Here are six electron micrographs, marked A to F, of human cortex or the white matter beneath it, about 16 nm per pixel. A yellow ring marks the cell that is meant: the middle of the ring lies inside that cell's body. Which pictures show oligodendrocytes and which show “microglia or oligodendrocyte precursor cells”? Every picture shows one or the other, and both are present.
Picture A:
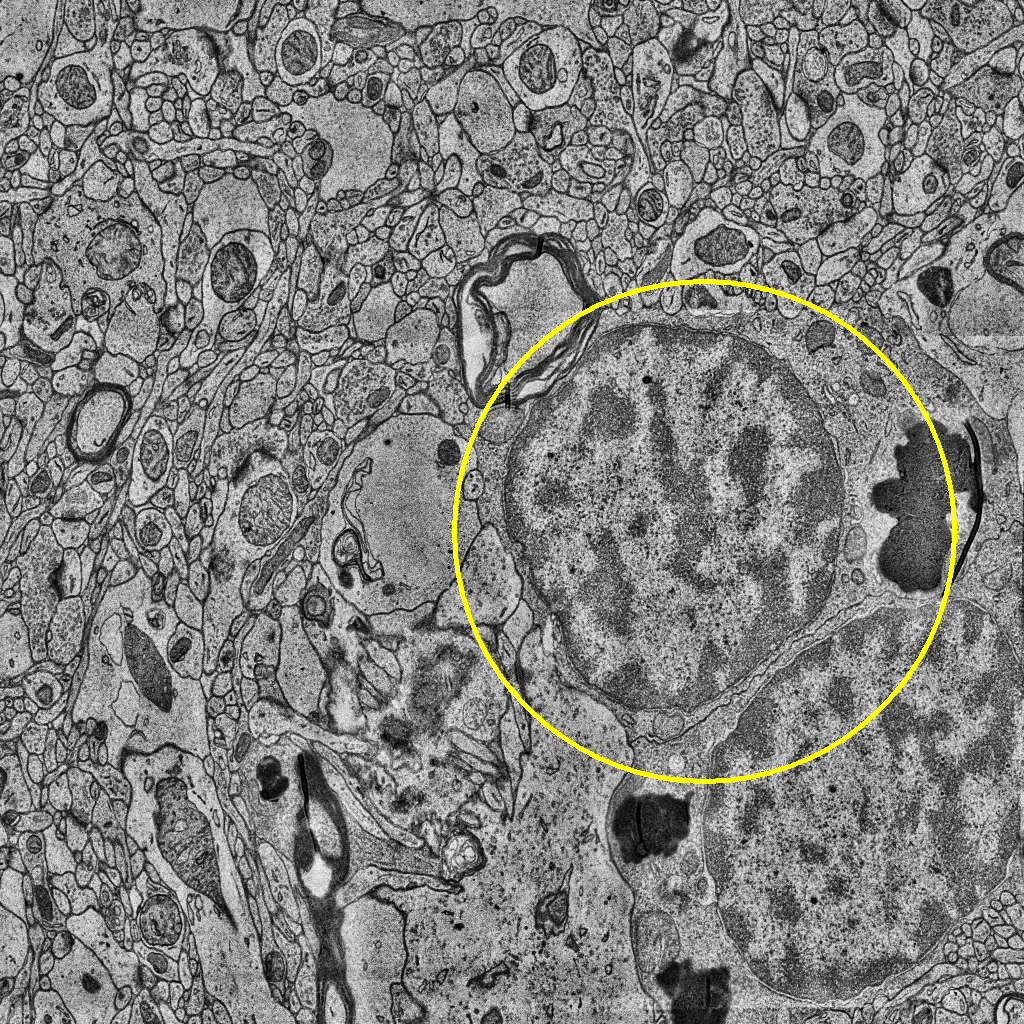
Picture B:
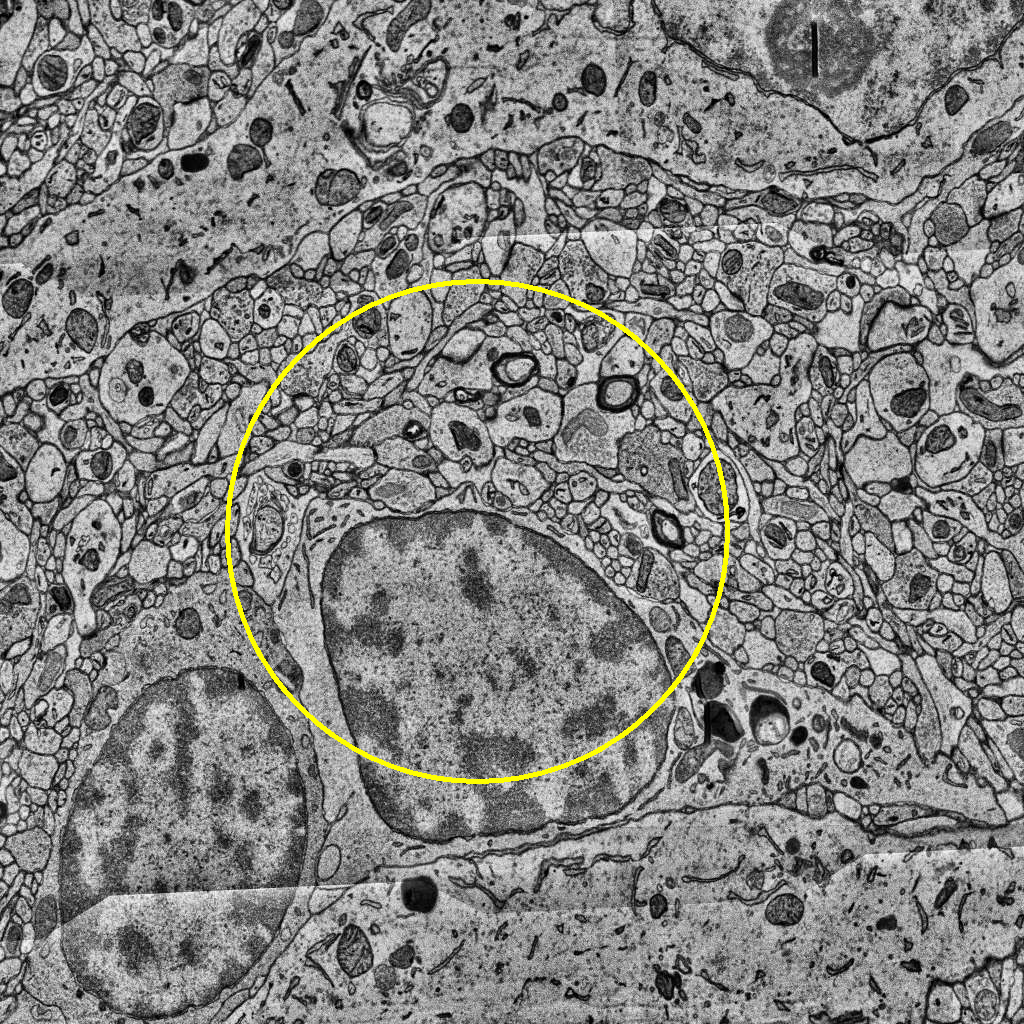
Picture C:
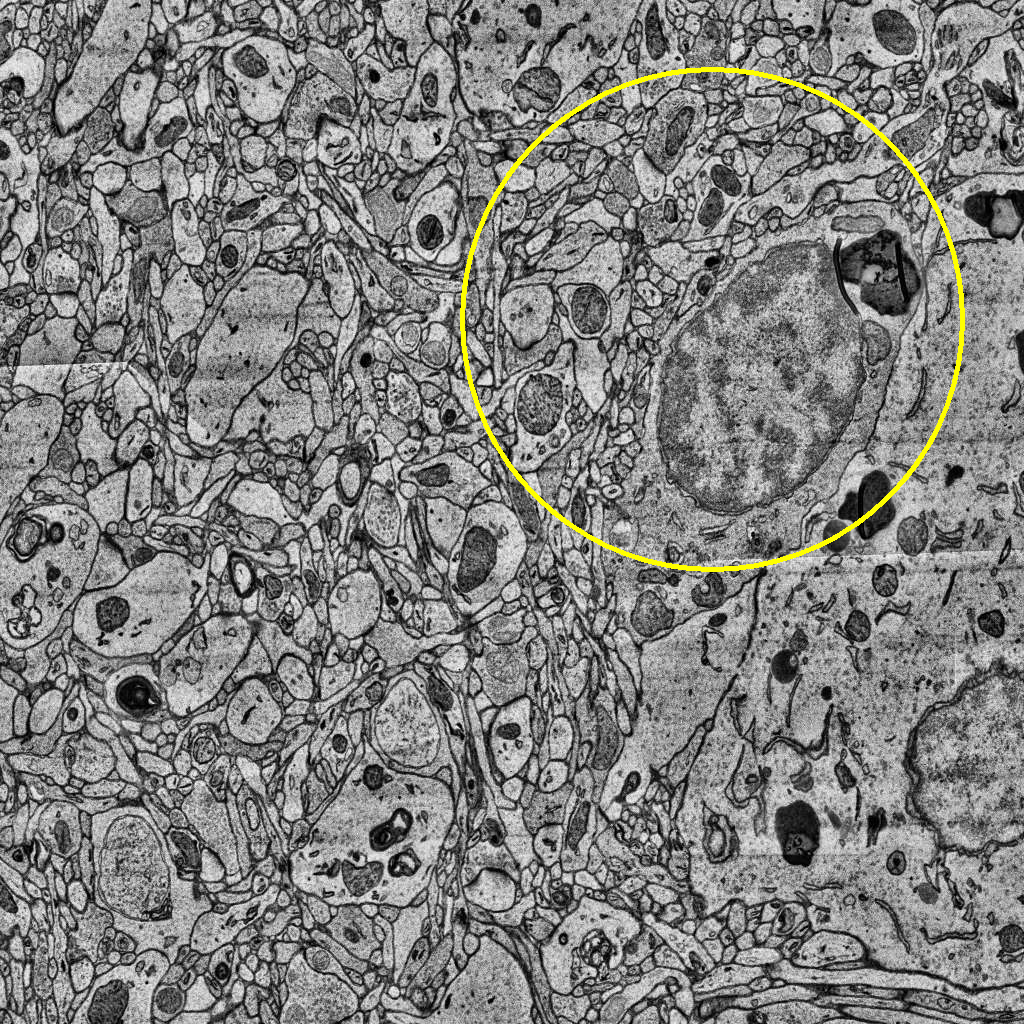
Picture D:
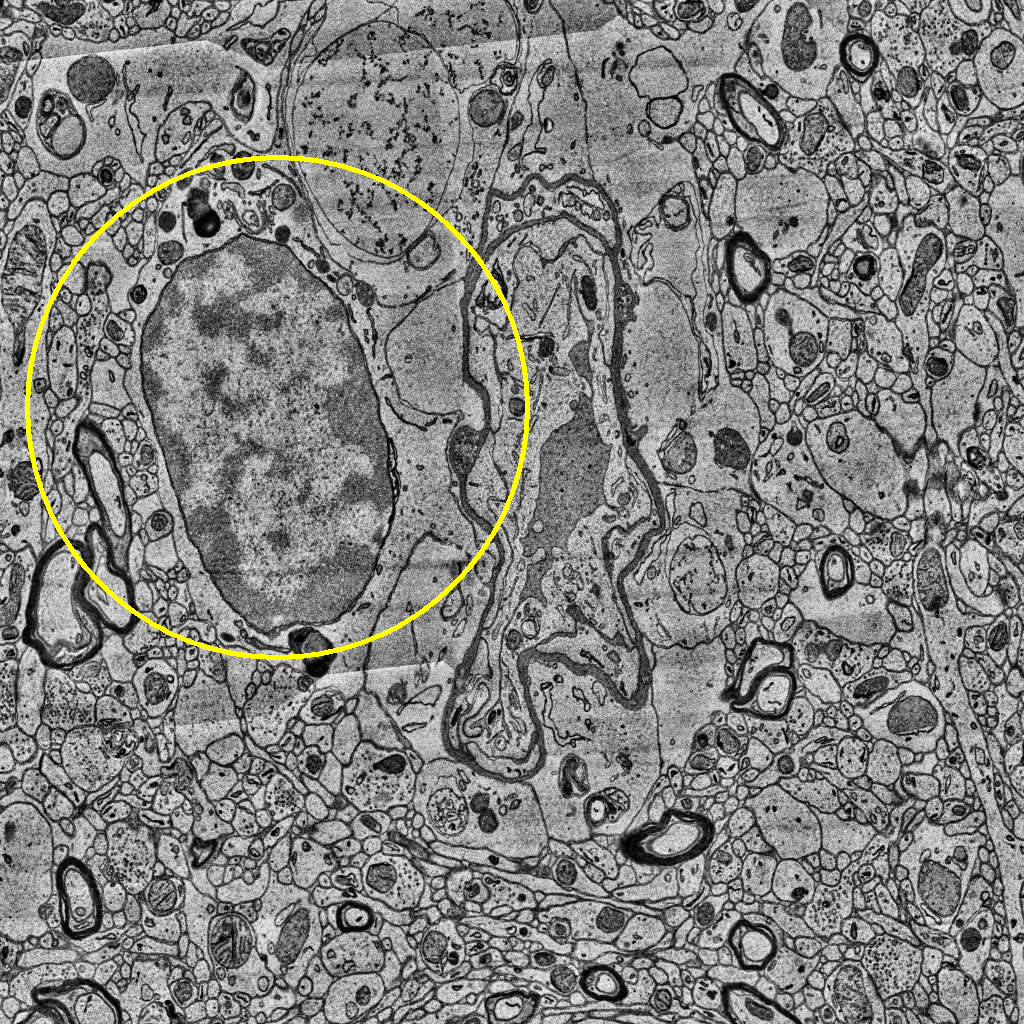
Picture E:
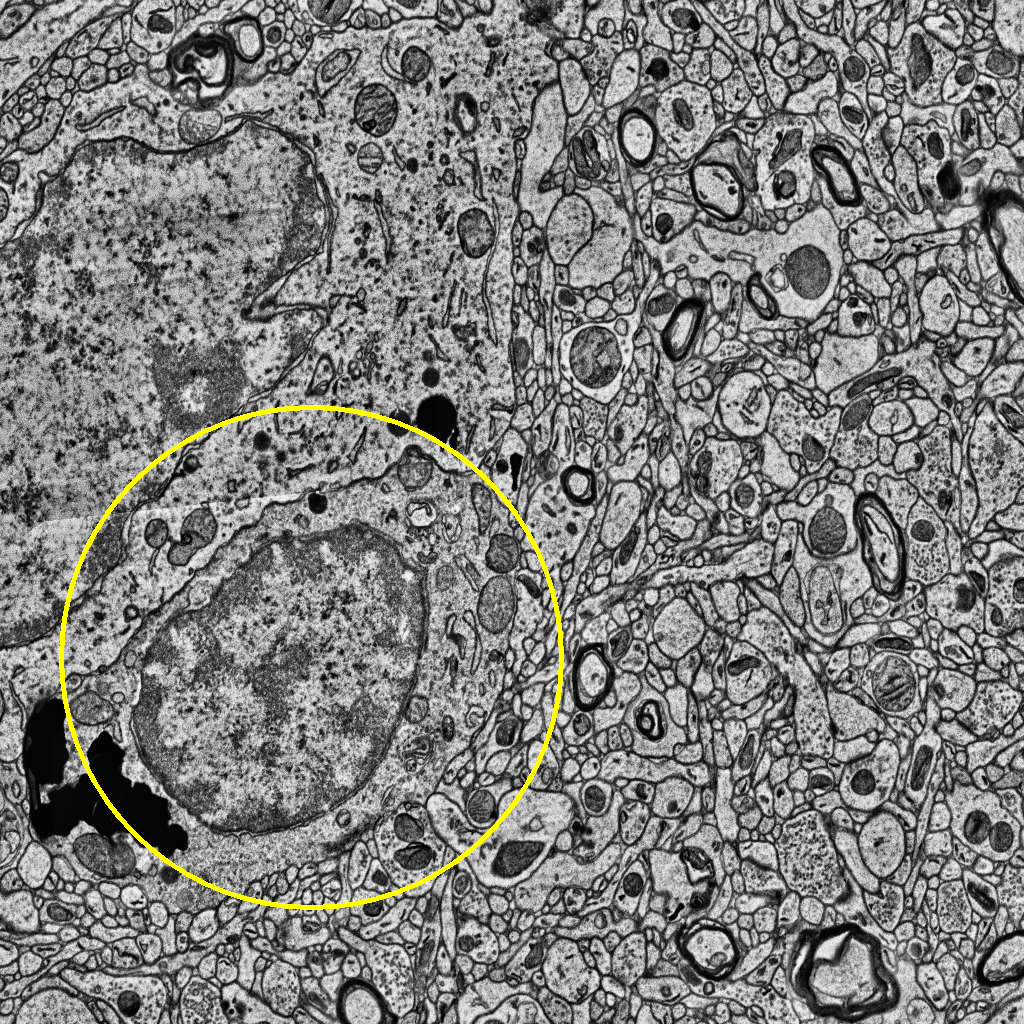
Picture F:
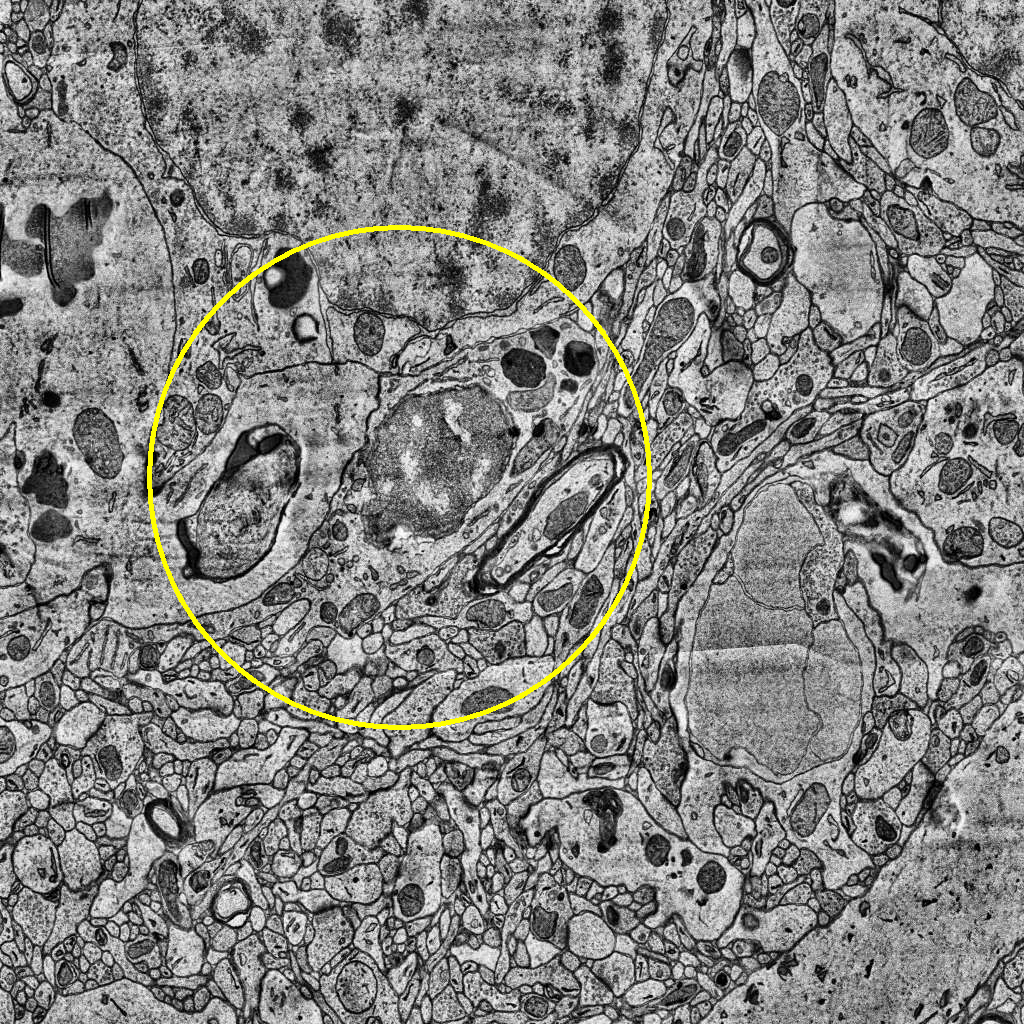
Pictures A, C and E show oligodendrocytes, while pictures B, D and F show “microglia or oligodendrocyte precursor cells”.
